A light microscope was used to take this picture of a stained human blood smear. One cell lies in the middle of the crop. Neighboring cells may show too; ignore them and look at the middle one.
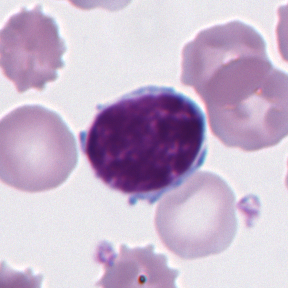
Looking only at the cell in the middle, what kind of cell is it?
typical lymphocyte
